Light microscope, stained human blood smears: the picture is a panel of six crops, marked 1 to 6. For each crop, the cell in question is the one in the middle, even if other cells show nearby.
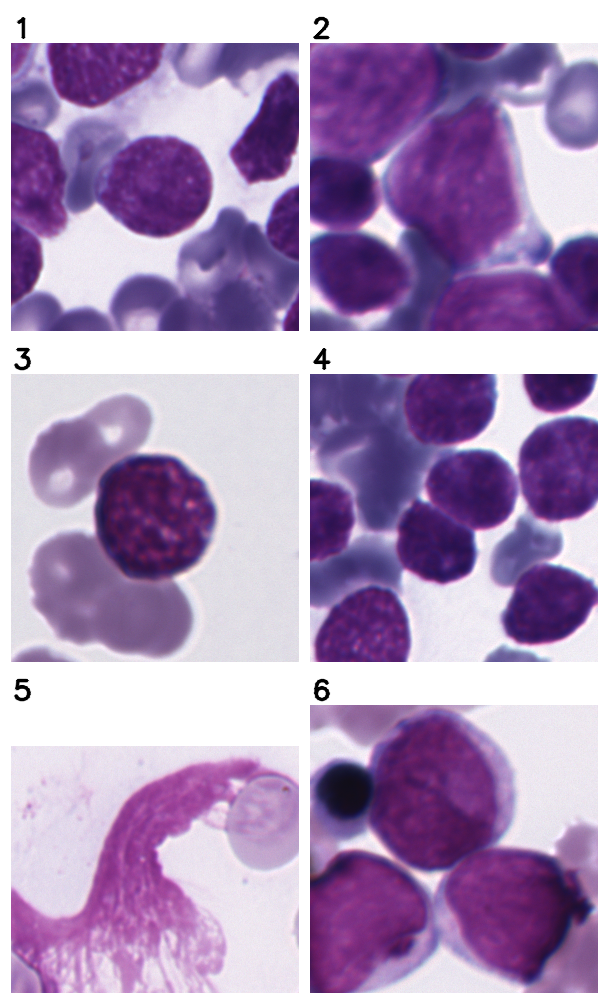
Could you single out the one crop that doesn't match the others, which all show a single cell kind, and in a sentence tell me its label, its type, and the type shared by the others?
The one crop not showing myeloblasts is crop 5, which shows a smudge cell.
